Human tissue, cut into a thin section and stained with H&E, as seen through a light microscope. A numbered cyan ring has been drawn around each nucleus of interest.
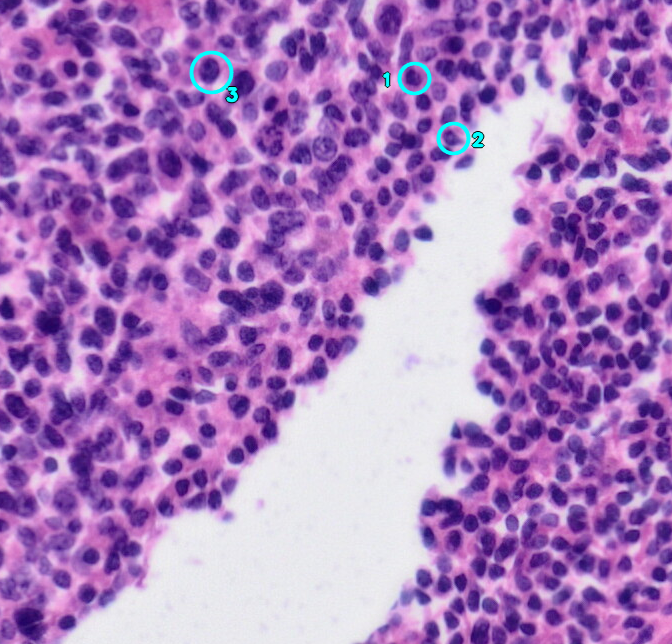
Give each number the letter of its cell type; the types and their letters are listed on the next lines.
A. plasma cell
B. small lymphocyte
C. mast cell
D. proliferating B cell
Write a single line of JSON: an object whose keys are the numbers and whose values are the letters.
{"1": "A", "2": "B", "3": "D"}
